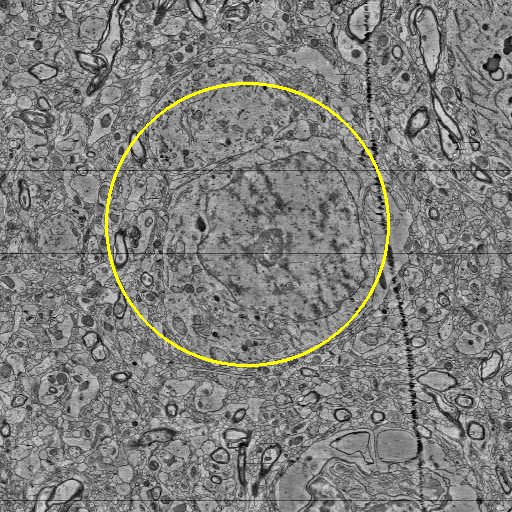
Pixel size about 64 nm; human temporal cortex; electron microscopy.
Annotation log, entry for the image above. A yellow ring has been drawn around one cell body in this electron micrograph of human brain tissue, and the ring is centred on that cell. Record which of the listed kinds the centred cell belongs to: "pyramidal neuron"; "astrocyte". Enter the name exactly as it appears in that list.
pyramidal neuron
